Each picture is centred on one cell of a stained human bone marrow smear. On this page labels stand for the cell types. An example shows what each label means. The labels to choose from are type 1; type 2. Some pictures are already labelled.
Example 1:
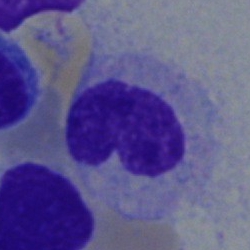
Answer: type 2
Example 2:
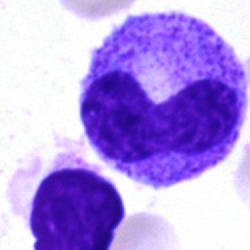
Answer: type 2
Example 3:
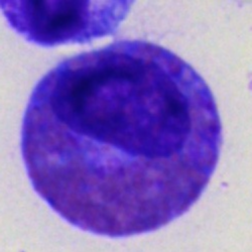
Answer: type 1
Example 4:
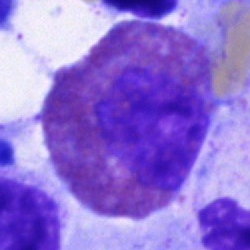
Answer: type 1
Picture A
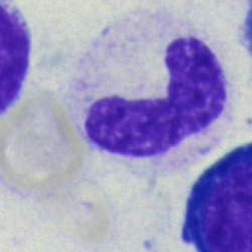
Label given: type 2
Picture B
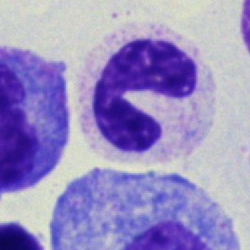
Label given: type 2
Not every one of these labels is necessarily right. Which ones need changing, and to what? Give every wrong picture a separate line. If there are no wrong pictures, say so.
All labels are correct.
